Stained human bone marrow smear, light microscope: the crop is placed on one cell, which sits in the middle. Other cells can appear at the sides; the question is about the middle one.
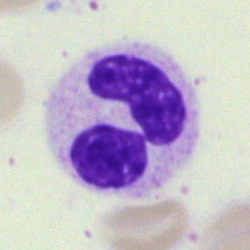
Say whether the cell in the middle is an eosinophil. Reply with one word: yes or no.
no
